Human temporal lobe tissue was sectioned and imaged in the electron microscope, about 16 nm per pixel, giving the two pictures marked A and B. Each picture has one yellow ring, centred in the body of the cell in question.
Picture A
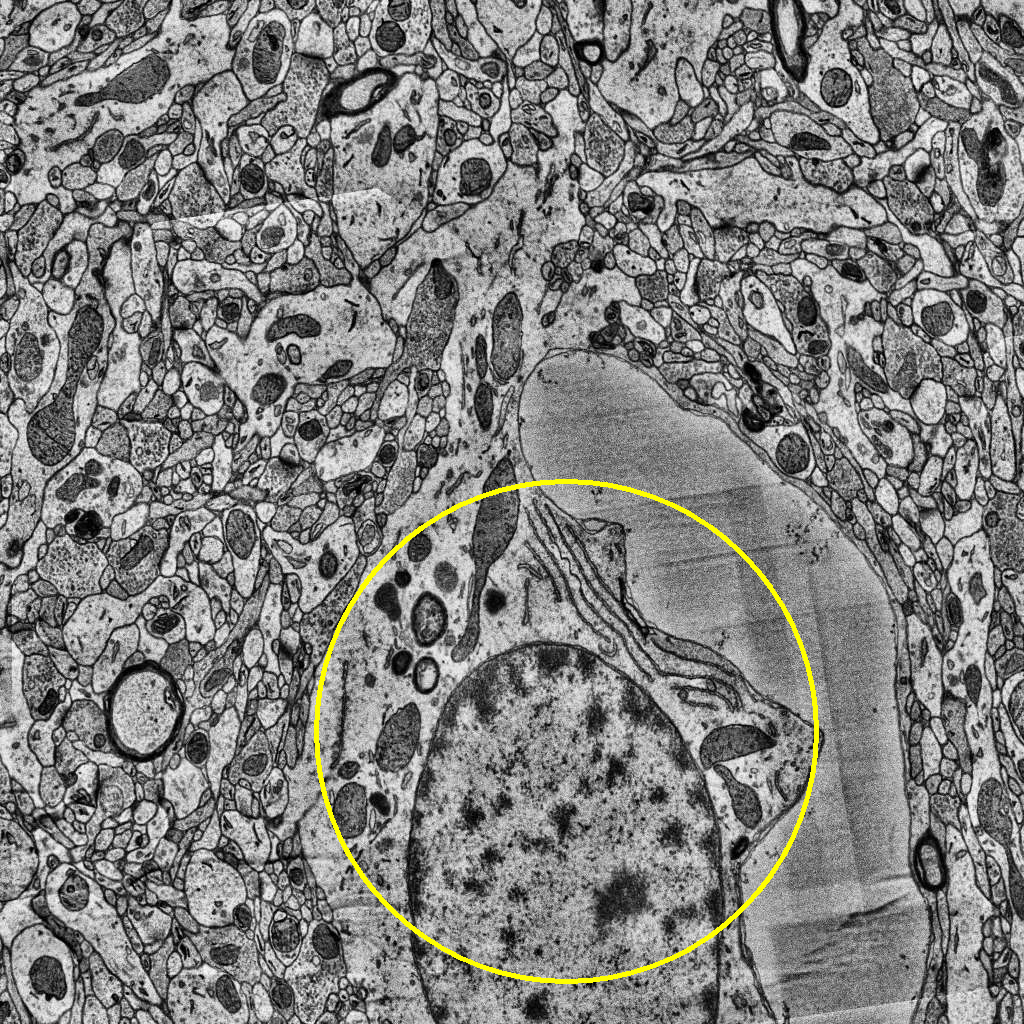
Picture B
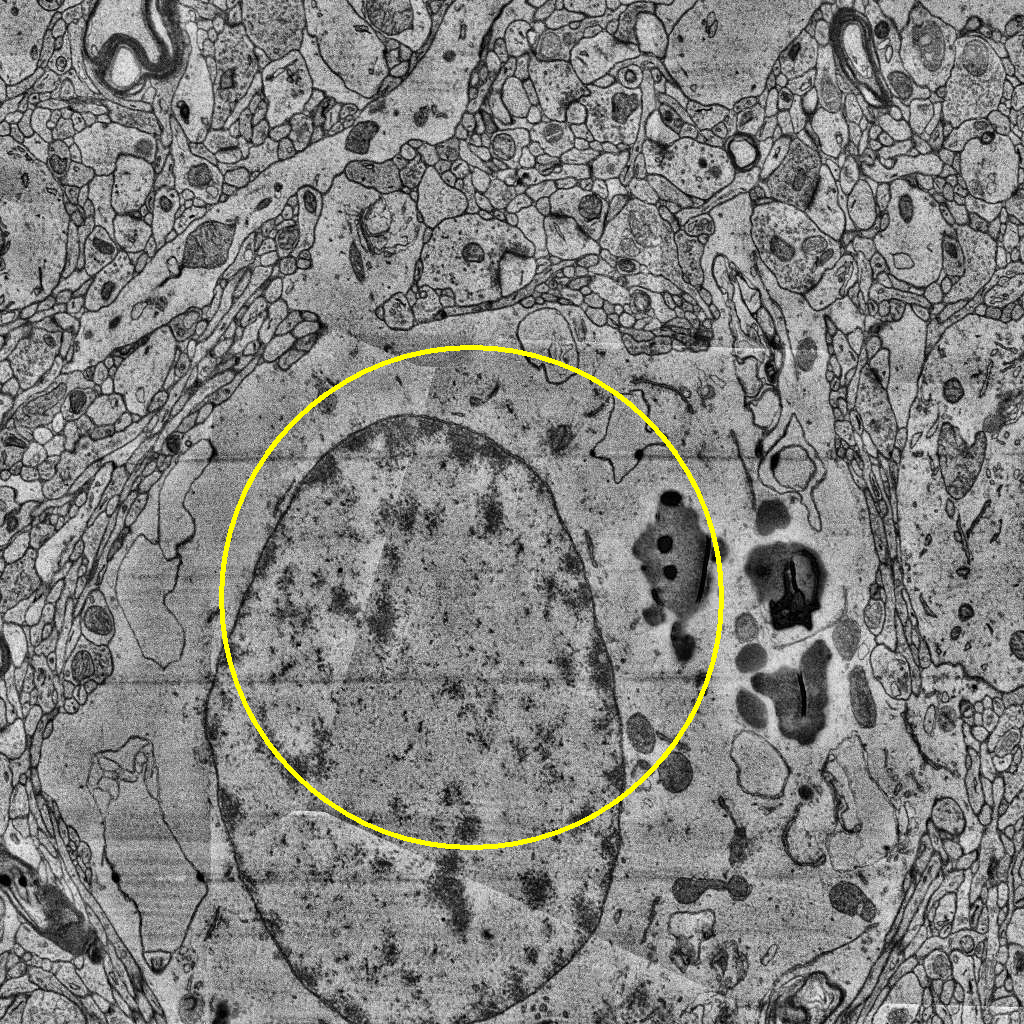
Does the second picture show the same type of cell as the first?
Yes, they are the same type: both are astrocytes.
